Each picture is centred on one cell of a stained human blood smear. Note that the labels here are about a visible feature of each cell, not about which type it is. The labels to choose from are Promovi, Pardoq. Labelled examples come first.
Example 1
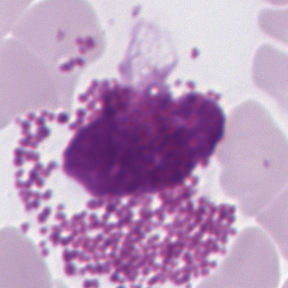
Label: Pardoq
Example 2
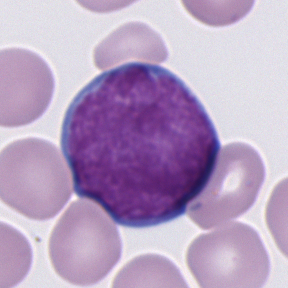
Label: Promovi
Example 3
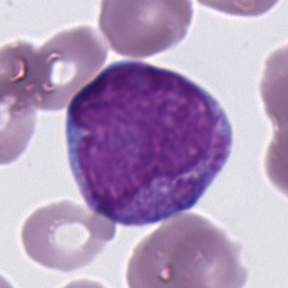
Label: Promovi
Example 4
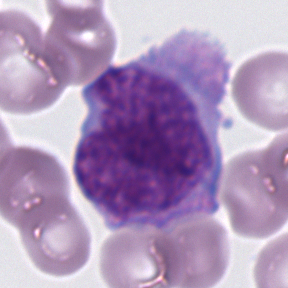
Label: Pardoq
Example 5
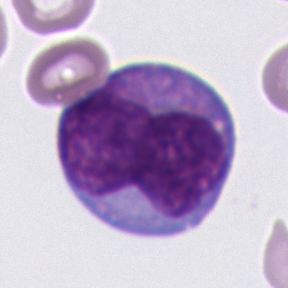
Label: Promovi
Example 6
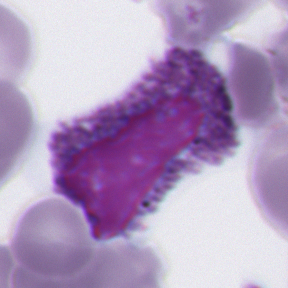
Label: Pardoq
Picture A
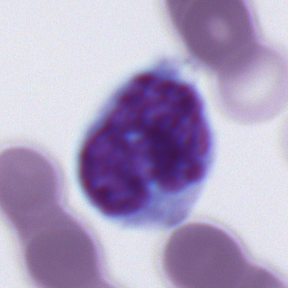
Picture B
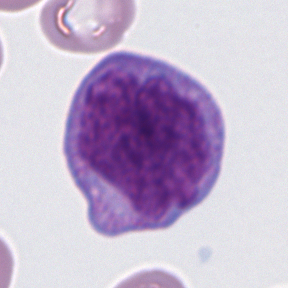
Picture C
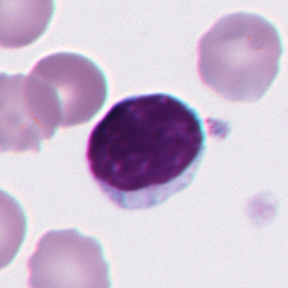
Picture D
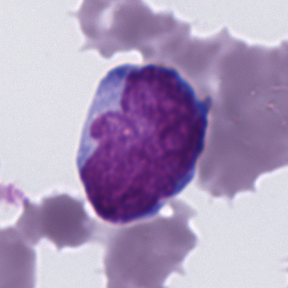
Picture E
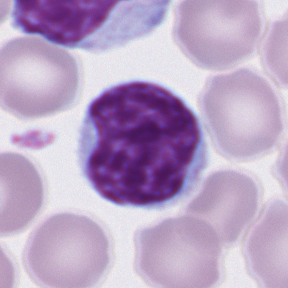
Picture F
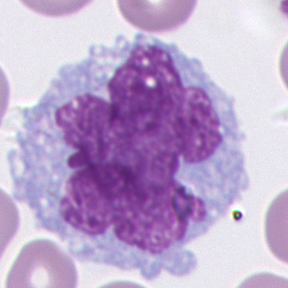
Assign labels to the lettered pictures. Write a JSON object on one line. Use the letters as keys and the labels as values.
{"A": "Promovi", "B": "Pardoq", "C": "Promovi", "D": "Promovi", "E": "Promovi", "F": "Pardoq"}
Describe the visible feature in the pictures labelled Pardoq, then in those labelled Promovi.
Pardoq, ragged outline or projections; Promovi, smooth outline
